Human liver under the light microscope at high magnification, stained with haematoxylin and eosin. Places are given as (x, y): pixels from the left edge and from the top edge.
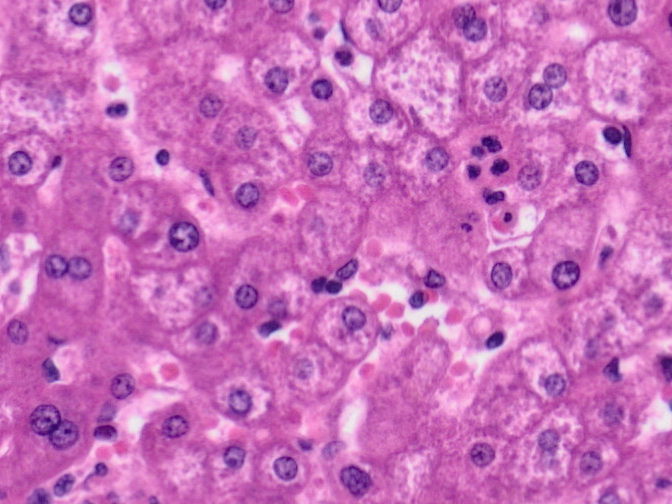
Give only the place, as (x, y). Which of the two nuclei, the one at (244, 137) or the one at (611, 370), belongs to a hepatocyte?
(244, 137)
